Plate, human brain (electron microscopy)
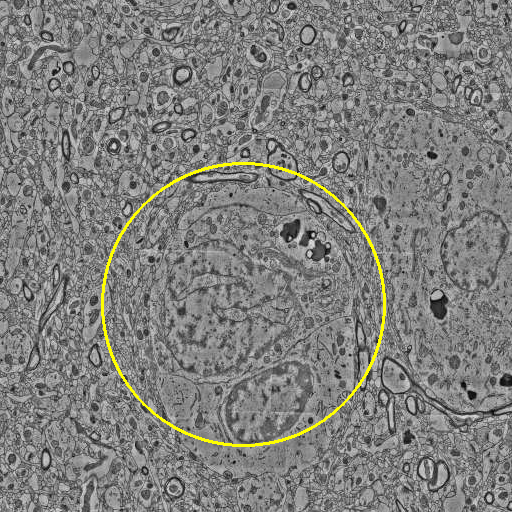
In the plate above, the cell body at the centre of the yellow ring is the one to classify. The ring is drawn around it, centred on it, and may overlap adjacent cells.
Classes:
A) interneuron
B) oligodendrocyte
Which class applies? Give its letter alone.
A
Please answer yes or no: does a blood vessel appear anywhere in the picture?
No.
